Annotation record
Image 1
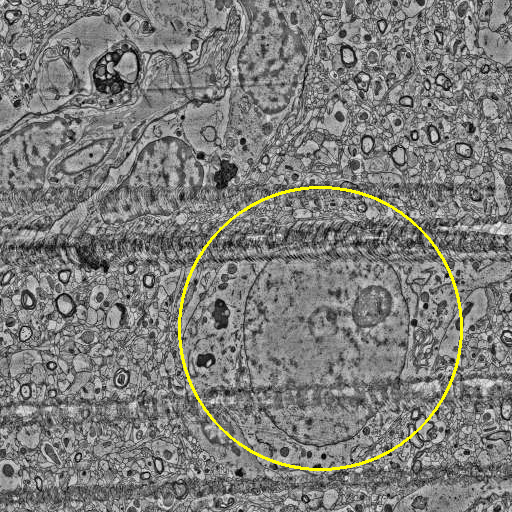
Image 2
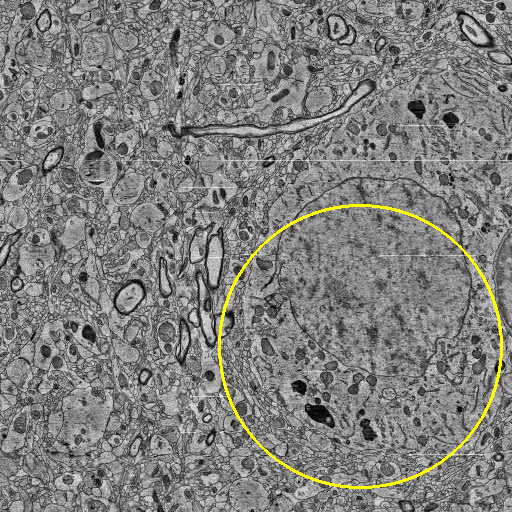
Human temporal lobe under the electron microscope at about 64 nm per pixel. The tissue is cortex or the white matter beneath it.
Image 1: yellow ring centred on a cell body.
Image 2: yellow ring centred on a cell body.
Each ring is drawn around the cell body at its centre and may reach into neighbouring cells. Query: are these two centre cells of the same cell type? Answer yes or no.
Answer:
yes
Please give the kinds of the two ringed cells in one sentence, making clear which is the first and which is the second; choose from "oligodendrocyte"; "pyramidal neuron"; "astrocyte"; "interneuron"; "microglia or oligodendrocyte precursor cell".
In the first picture and in the second, the ring is centred on a pyramidal neuron.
